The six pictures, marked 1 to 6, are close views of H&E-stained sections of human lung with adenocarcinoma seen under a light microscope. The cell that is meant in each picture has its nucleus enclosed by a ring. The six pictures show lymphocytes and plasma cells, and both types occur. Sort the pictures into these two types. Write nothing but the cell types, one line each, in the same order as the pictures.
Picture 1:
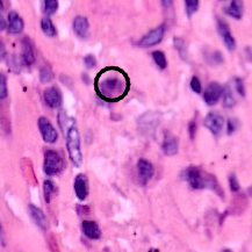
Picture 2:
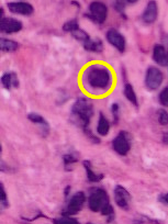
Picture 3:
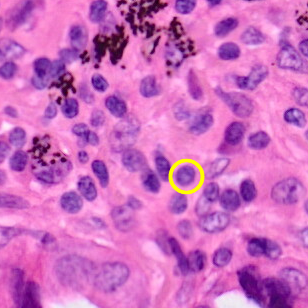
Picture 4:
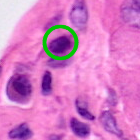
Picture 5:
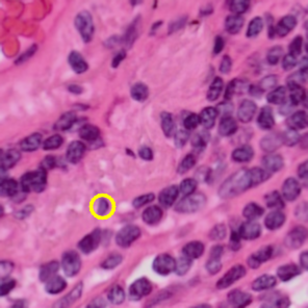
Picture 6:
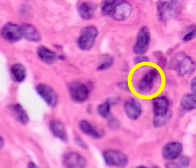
plasma cell
plasma cell
lymphocyte
plasma cell
lymphocyte
plasma cell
